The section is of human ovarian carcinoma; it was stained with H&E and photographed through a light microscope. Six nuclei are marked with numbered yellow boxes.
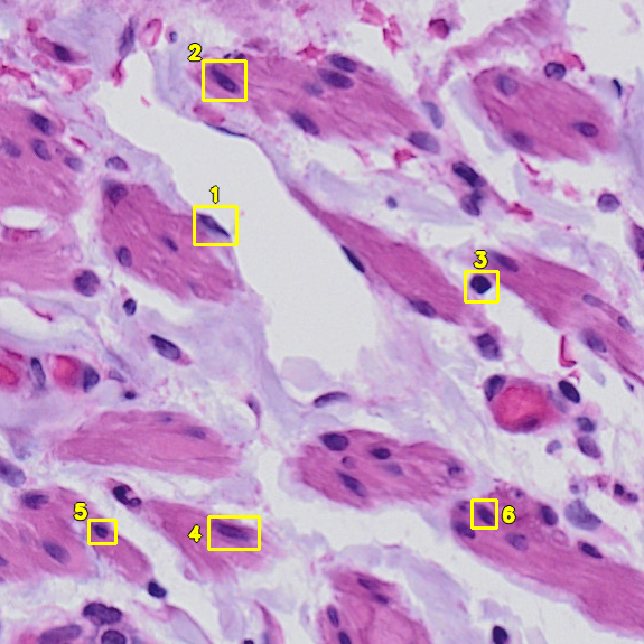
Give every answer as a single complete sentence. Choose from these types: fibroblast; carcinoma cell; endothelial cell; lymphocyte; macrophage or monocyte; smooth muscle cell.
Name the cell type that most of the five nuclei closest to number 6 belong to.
Smooth muscle cells make up most of the five nuclei closest to number 6.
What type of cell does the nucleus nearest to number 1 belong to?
Closest to number 1 lies the nucleus of a smooth muscle cell.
